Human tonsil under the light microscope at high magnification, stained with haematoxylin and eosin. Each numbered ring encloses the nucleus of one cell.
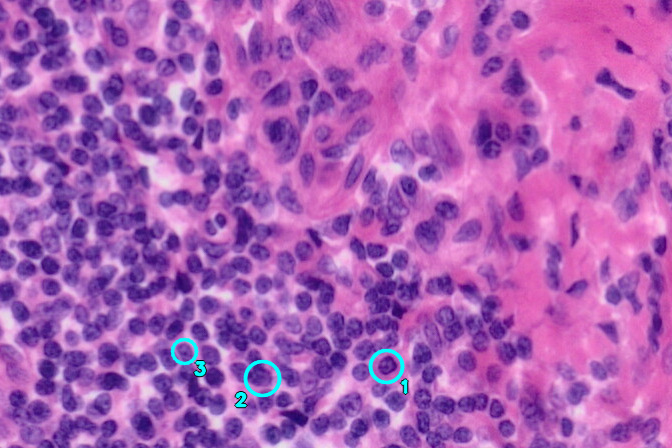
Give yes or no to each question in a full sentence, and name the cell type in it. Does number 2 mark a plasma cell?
No, the marker 2 sits on a small lymphocyte, not on a plasma cell.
